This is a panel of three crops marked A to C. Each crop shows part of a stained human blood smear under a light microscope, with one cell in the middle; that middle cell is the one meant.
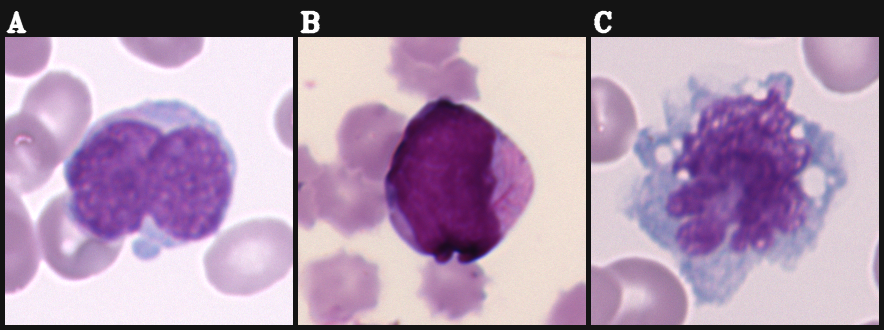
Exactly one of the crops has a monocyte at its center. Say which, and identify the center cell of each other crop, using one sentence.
In the crop designated C, the cell is a monocyte, while crop A is an atypical promyelocyte and crop B is a myeloblast.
